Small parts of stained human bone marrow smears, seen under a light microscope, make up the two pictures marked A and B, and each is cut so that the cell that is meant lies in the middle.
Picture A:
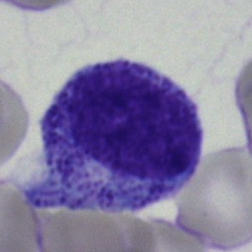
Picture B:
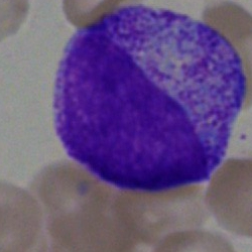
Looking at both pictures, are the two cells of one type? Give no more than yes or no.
yes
